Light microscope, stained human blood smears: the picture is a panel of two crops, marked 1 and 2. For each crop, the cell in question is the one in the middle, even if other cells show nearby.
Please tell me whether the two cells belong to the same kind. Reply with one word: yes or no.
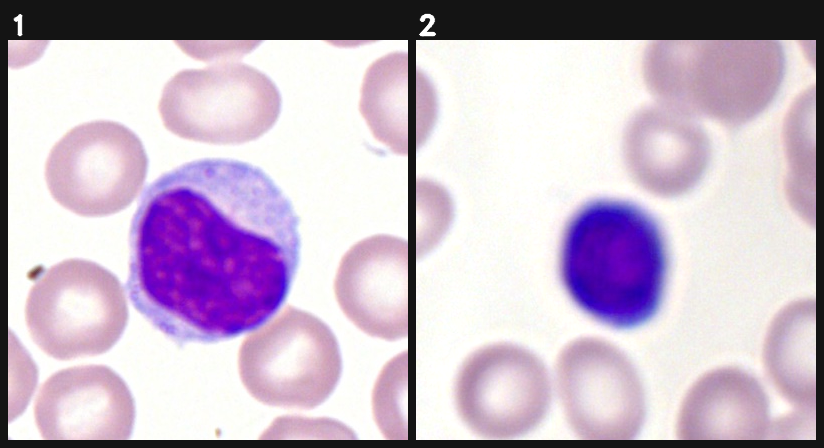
yes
